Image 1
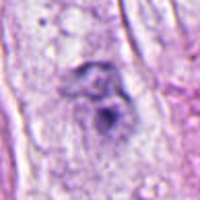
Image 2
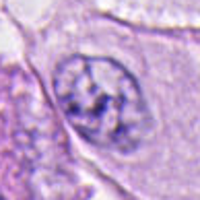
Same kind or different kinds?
Same: maternal decidual cells.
